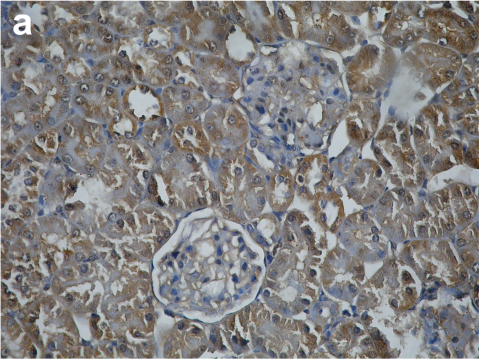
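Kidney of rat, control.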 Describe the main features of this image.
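The corpuscle near the lower middle is a round tuft of capillaries with small blue nuclei, enclosed by a thin capsule and a clear space. Around it lie many tubules cut across, each lined by cuboidal epithelial cells with round blue nuclei. The cytoplasm of these tubule cells is filled with a granular brown stain, while the glomerular tuft itself stays mostly blue and pale. Narrow clear spaces separate neighbouring tubules.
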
